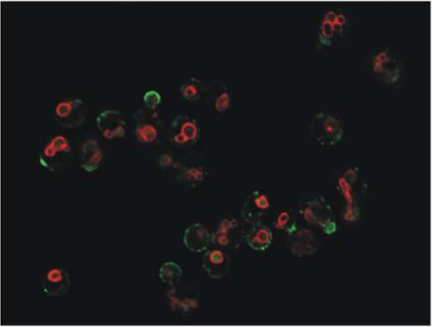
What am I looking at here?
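The red rings sit well inside the cells and vary in size, a few cells showing two smaller rings. Green appears as scattered fine dots and short arcs at the cell periphery, tracing the surface of some cells, largely separate from the red rings, with the interiors of the rings dark. Cells lie singly or in small clusters, some as pairs.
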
